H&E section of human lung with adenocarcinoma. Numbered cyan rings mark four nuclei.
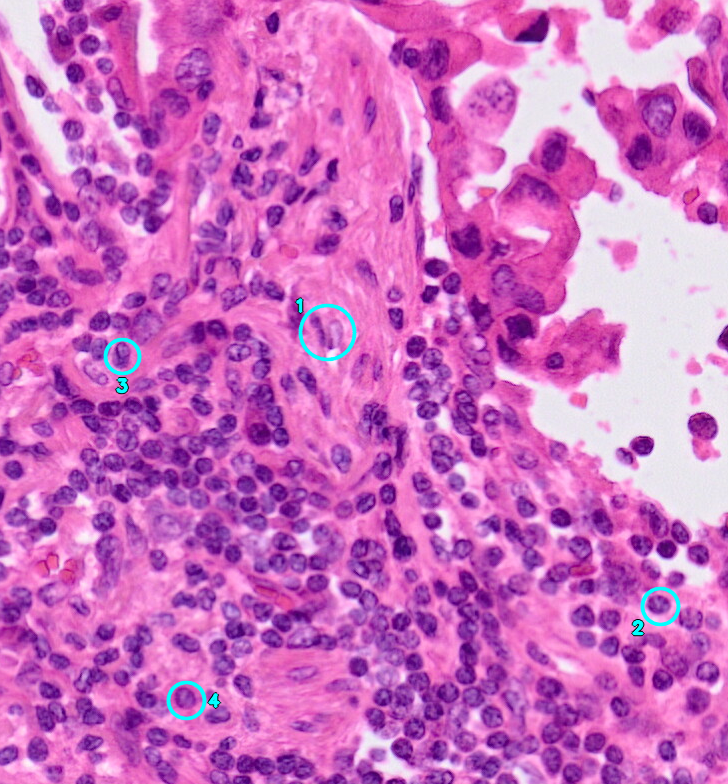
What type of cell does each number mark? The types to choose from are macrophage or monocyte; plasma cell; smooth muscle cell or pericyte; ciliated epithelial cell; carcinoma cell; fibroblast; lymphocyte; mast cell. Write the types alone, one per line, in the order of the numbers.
fibroblast
lymphocyte
lymphocyte
mast cell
